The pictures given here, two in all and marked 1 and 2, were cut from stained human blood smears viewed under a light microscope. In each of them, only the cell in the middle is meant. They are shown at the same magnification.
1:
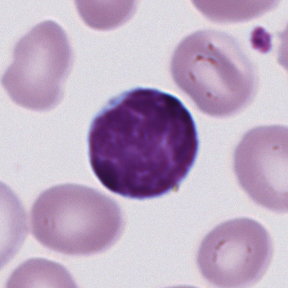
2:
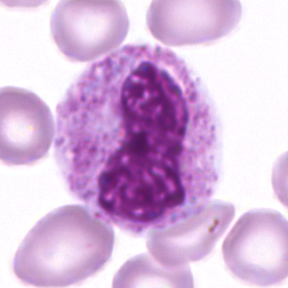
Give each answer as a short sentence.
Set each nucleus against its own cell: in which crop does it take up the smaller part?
In crop 2 the nucleus takes up the smaller part of its cell.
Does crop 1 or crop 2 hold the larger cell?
Larger is the cell in crop 2, at roughly 2 times the area of the other.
